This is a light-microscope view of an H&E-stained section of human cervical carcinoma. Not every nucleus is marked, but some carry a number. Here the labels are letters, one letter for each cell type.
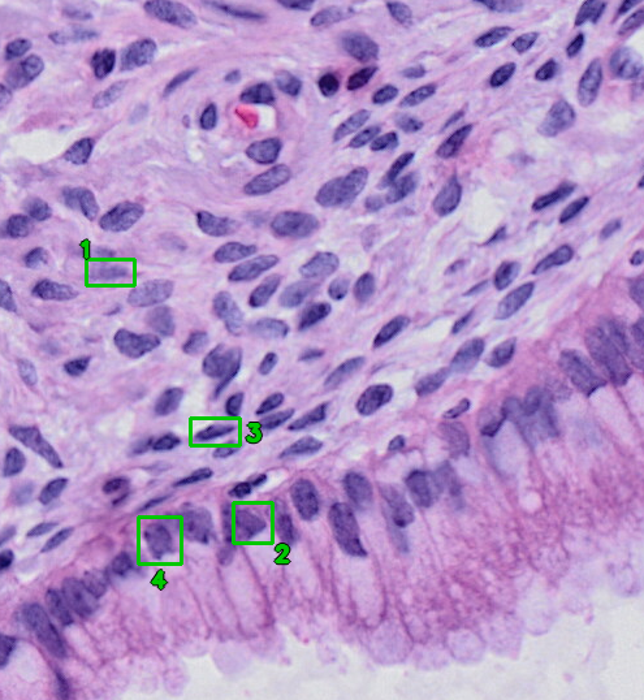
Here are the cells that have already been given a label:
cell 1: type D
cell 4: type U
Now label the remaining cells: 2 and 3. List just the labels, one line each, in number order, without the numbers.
type U
type D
